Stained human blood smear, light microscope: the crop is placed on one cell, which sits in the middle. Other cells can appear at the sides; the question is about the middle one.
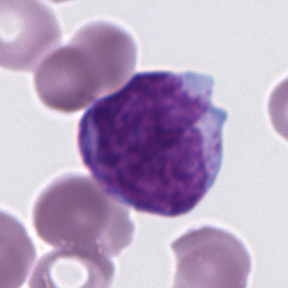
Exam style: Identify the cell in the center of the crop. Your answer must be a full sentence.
The crop centres on a single cell, and that cell is an atypical promyelocyte.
